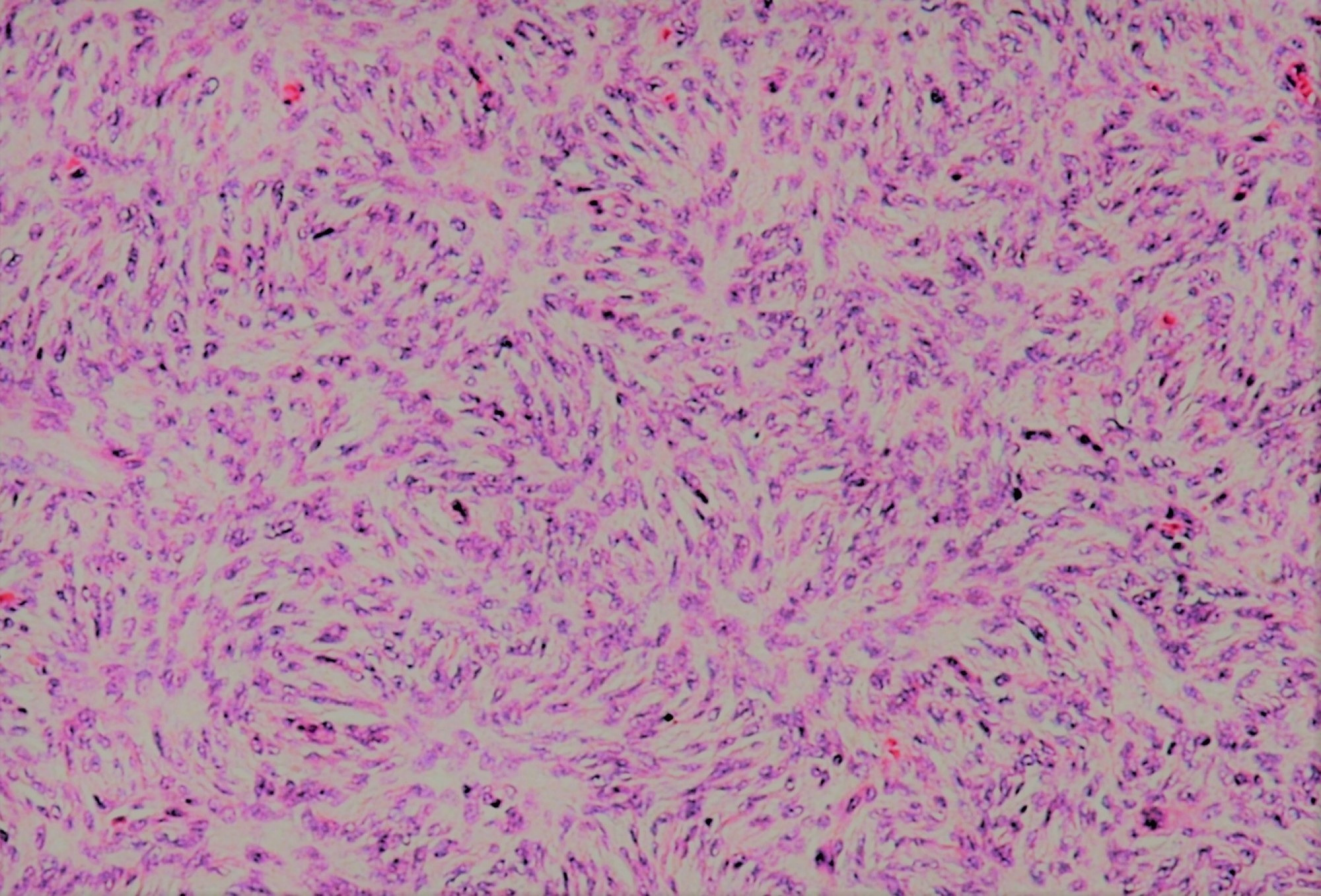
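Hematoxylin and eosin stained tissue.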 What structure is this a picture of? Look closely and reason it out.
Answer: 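Storiform pattern. Spindle-shaped cells are arranged in short intersecting fascicles. The fascicles radiate from pale central points in a cartwheel-like or whorled fashion across the field.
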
